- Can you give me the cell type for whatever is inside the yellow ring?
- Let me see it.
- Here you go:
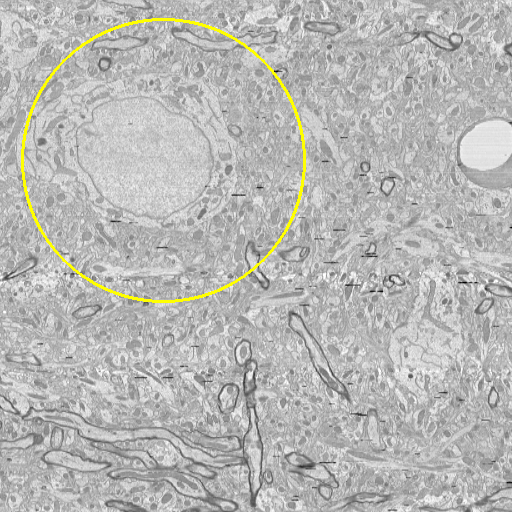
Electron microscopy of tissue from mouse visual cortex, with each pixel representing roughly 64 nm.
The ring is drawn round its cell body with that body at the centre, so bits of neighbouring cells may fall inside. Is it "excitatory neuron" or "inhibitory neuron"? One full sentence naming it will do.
The cell body in the middle of the ring in this picture belongs to an inhibitory neuron.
